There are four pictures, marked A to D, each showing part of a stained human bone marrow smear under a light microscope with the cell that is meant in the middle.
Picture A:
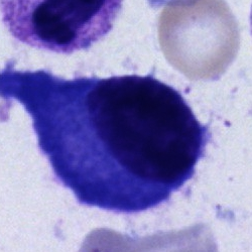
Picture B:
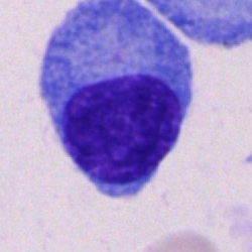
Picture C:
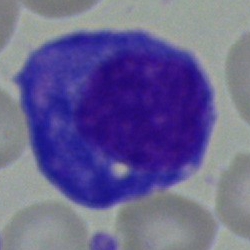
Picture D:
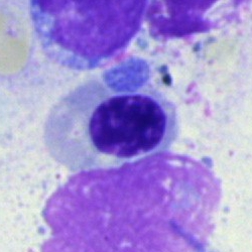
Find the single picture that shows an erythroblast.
D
